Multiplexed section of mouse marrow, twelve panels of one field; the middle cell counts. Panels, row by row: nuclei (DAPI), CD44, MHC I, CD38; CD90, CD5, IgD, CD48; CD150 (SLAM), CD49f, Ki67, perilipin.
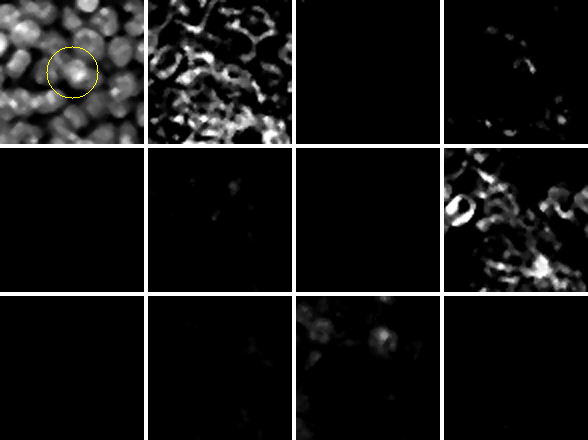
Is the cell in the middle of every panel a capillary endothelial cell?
No, it is a neutrophil.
